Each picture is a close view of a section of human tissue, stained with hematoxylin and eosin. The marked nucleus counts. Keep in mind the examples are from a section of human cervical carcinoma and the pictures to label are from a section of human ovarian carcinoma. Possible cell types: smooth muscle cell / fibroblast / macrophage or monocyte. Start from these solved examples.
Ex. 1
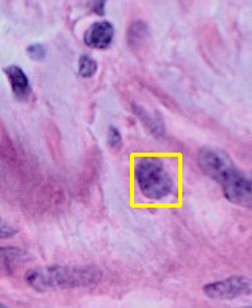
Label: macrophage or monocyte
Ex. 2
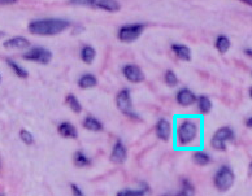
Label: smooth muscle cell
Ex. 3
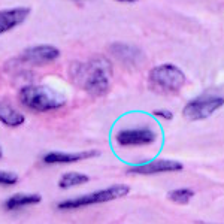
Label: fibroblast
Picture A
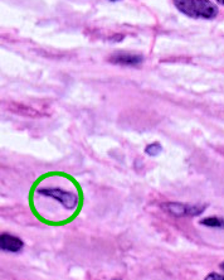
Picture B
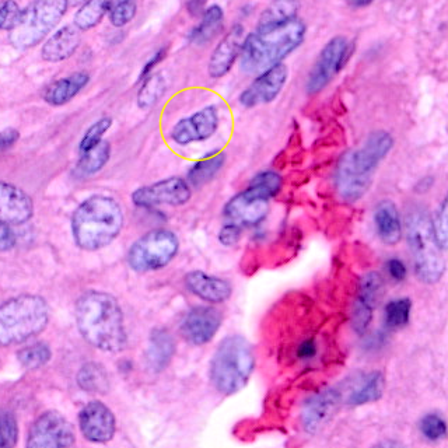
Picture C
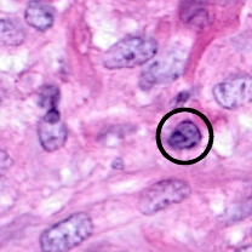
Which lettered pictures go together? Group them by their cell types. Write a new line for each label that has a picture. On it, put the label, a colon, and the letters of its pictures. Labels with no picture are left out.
macrophage or monocyte: A, B, C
